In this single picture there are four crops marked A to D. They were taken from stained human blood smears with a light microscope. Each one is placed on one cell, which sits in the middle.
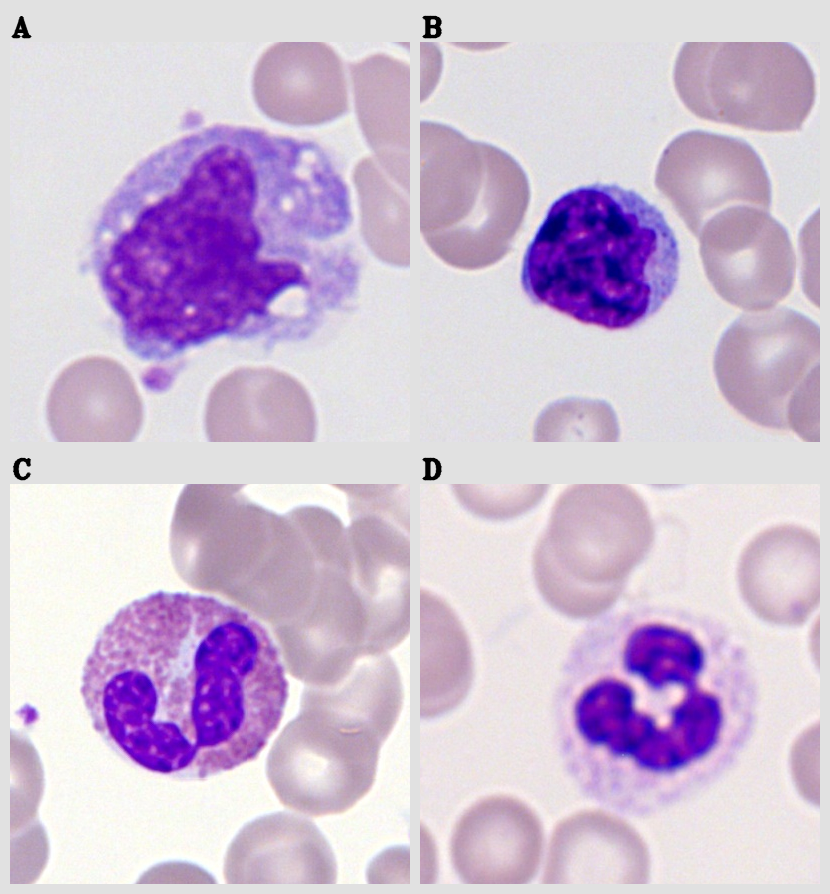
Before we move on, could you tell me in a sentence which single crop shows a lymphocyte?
It is the cell in crop B that is a lymphocyte.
